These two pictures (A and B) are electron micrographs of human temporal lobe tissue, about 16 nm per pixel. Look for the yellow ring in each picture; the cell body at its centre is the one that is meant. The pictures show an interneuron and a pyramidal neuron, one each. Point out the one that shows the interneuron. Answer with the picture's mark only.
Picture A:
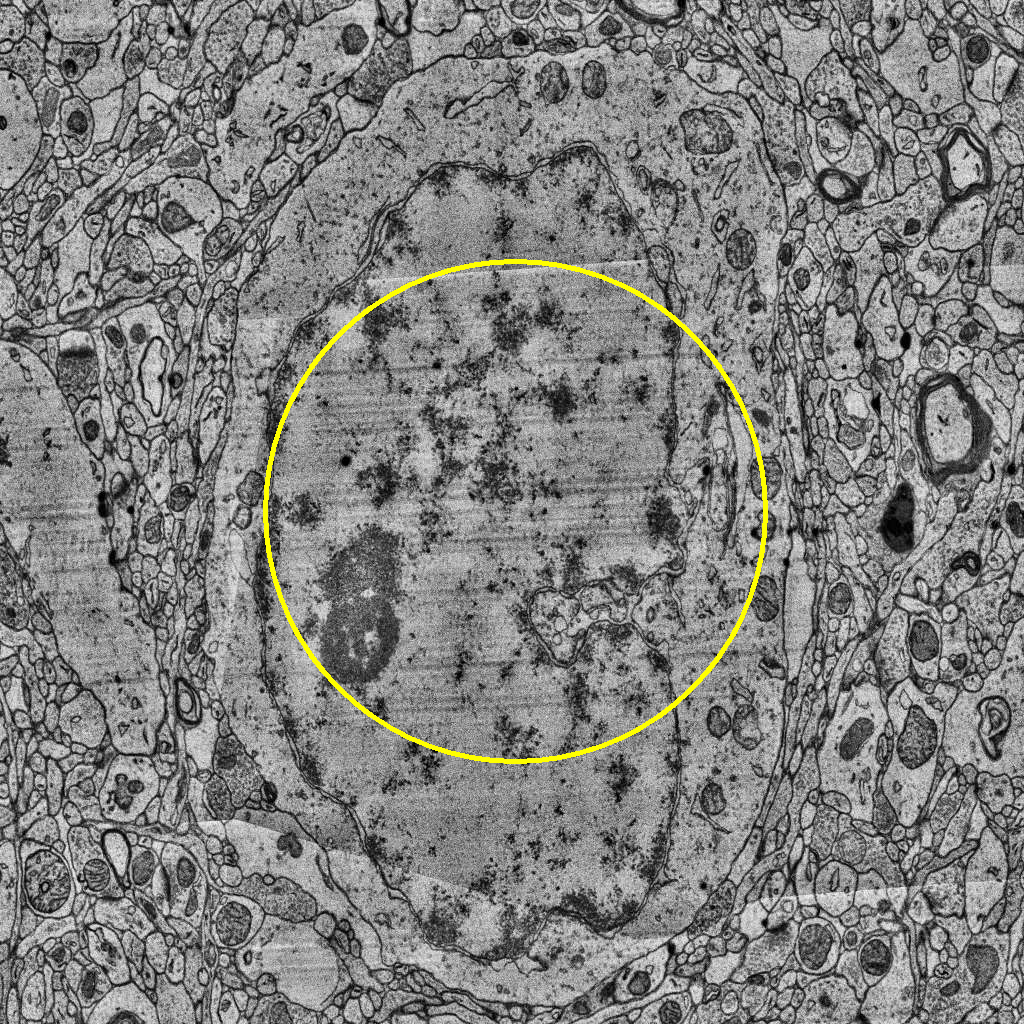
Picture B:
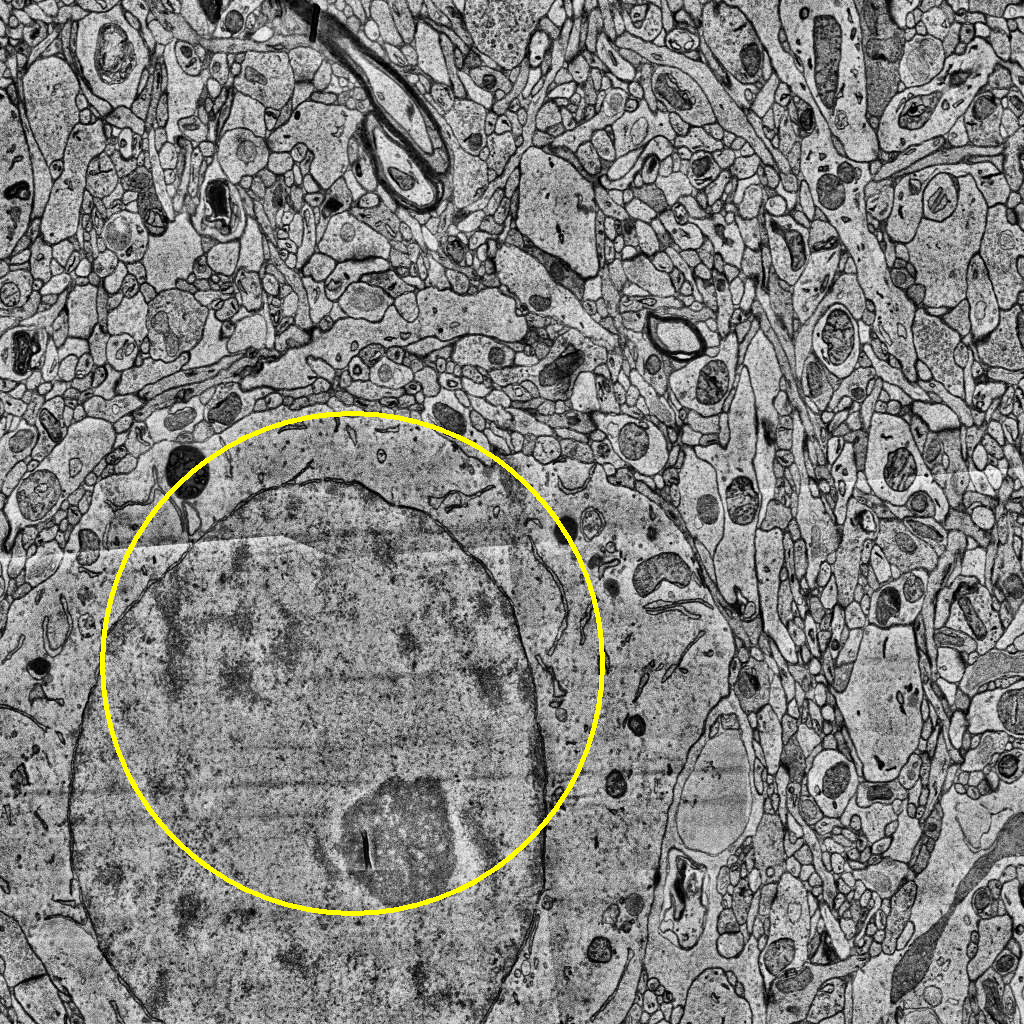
A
